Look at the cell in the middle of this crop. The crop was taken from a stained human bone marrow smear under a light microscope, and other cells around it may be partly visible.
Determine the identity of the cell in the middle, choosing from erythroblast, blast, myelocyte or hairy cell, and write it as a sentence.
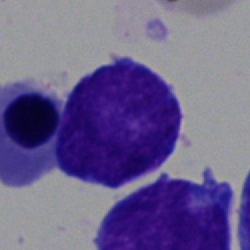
The centrally placed cell is classified as a blast.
